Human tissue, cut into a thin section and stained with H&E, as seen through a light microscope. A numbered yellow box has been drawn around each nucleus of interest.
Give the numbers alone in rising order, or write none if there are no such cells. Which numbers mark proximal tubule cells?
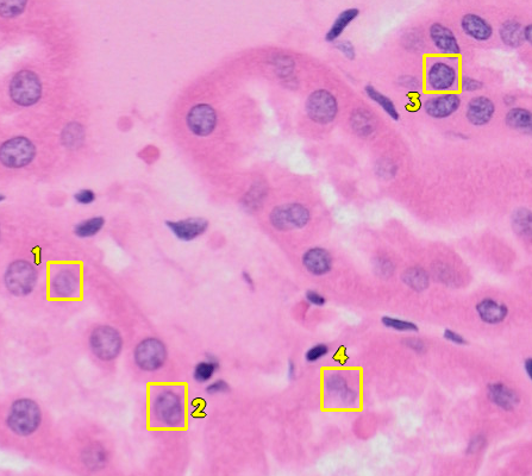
1, 2, 4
